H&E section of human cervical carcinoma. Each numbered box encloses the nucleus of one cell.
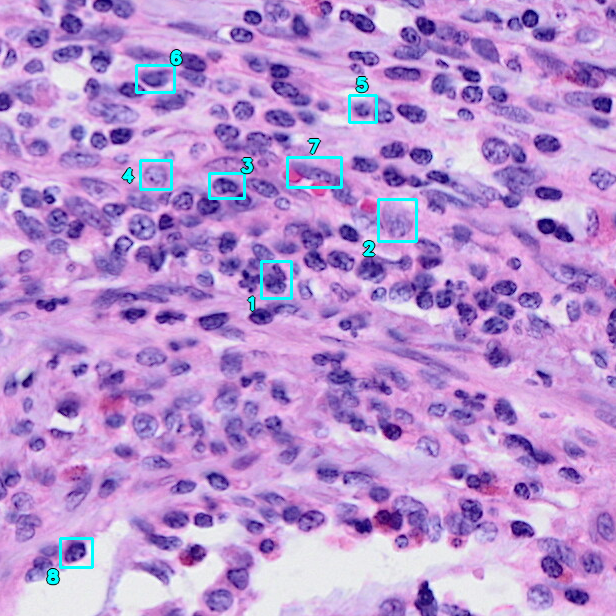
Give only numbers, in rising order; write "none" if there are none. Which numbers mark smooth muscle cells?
none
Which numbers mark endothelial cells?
2, 4, 7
